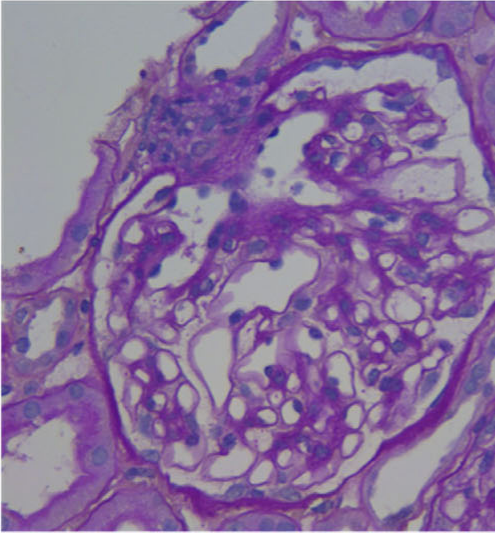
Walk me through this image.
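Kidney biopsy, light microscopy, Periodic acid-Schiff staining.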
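A single glomerulus fills the middle of the field: a lobulated tuft of open capillary loops with magenta-stained thin walls and scattered blue nuclei, held inside a capsule with a clear space between tuft and capsule. Around it lie cross-sections of tubules lined by cuboidal cells with pink cytoplasm and round blue nuclei. The capillary walls look thin and the loops open, with no obvious scarring or crowding of cells.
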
